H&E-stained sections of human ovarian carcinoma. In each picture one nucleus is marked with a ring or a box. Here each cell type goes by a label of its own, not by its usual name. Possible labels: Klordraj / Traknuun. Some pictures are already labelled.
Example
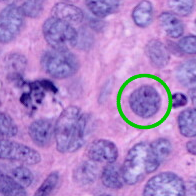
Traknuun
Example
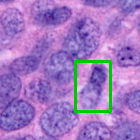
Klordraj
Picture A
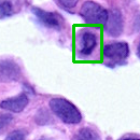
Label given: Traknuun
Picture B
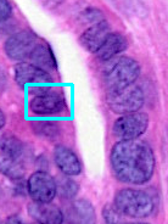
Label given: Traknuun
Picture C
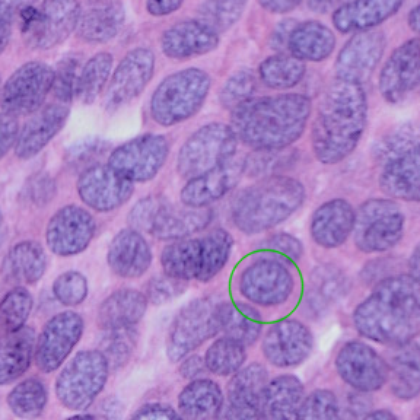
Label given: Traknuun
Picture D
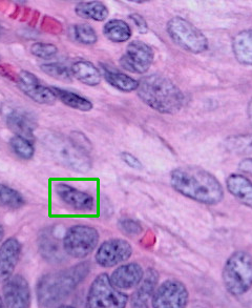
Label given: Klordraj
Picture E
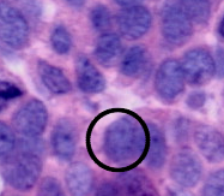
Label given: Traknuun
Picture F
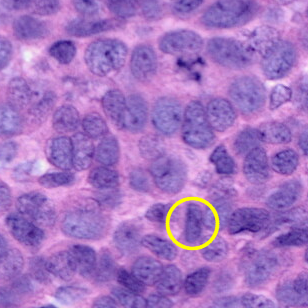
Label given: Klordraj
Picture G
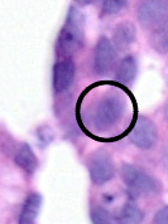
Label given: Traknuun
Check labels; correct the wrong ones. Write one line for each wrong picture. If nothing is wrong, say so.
A: change Traknuun to Klordraj
F: change Klordraj to Traknuun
